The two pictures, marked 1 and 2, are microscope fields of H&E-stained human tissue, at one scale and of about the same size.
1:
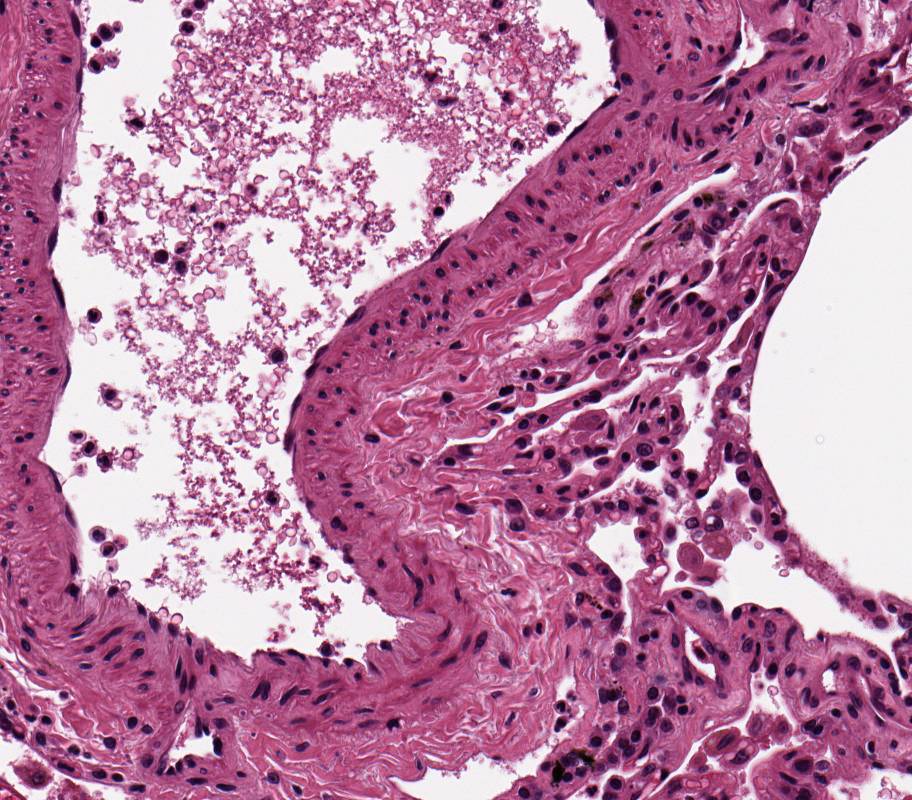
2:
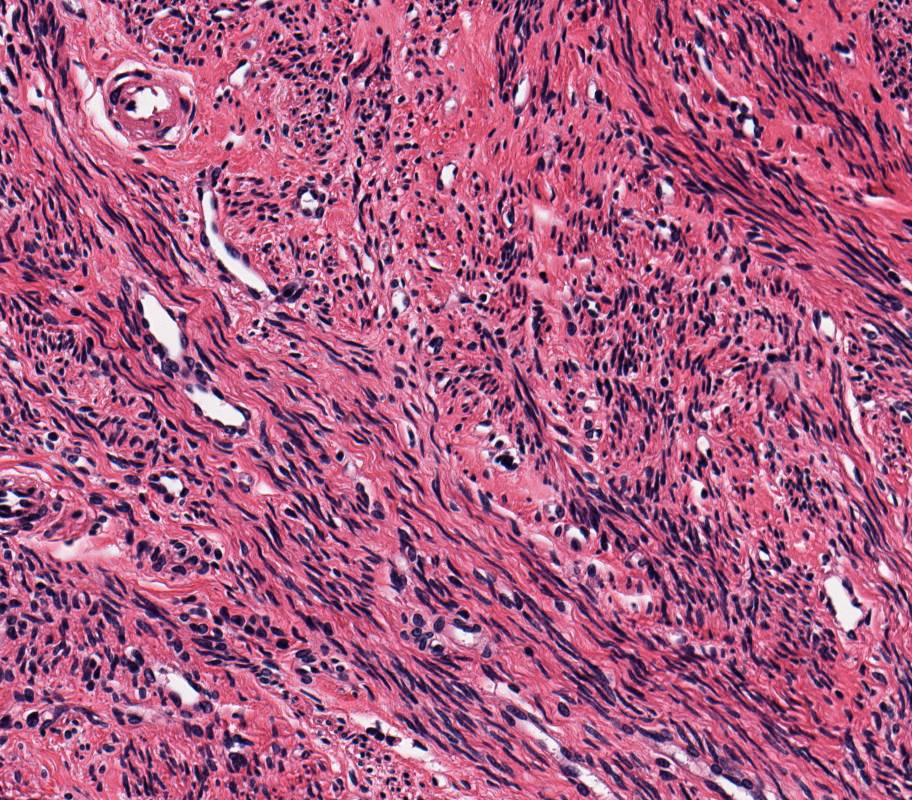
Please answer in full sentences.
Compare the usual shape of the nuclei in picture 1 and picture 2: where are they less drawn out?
It is picture 1 whose nuclei are the rounder.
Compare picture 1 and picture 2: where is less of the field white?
Picture 2 has less white space.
